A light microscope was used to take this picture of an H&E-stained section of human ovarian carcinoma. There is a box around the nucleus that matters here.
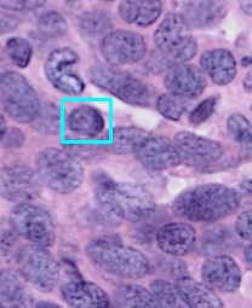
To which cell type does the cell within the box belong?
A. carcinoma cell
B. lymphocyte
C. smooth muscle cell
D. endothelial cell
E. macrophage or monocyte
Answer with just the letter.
A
